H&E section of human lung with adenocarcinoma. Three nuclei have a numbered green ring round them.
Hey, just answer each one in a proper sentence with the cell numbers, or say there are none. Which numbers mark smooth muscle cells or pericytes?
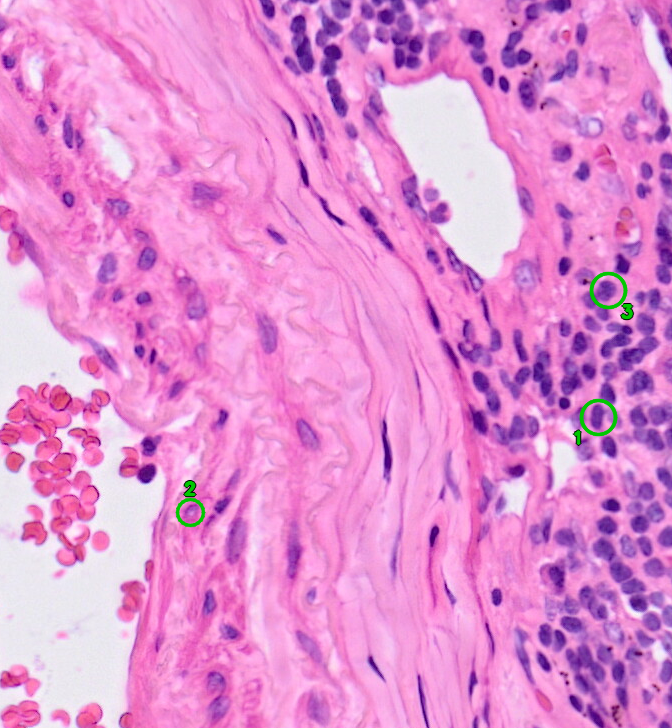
As for the numbered cells, only cell 2 is a smooth muscle cell or pericyte.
